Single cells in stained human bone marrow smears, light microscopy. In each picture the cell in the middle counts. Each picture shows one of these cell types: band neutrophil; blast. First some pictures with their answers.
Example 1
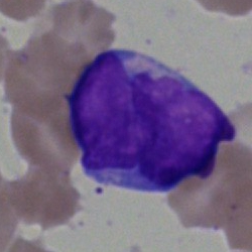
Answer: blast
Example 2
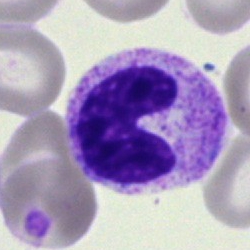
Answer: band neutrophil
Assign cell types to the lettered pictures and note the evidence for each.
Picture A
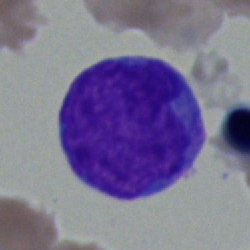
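blast. Evidence: Only a very thin rim of cytoplasm is visible.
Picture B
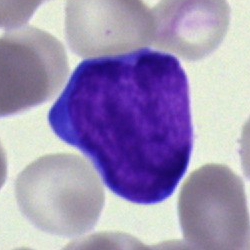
blast. Evidence: The cytoplasm is scant, forming only a narrow rim around the nucleus.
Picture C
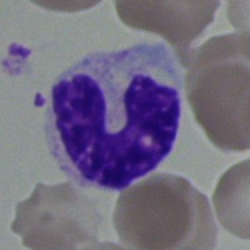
band neutrophil. Evidence: The nucleus is a thick U-shaped band with its open side facing upward.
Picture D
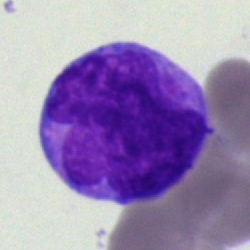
blast. Evidence: The nucleus fills most of the cell.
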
